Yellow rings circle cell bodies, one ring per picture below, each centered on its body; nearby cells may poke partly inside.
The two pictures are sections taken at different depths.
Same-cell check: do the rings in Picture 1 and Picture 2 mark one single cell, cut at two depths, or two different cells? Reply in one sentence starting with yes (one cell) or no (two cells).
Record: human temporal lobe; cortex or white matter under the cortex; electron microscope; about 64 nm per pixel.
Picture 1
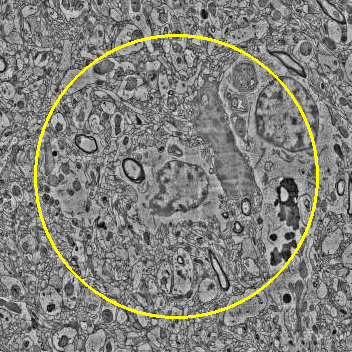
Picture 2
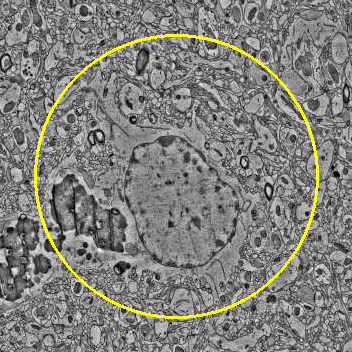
Yes, only one cell is involved, and both rings mark it.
